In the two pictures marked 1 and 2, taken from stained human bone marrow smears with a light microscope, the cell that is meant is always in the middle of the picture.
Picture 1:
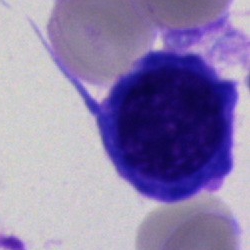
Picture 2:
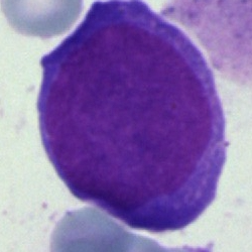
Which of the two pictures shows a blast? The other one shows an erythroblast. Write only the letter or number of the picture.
2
